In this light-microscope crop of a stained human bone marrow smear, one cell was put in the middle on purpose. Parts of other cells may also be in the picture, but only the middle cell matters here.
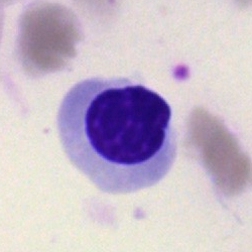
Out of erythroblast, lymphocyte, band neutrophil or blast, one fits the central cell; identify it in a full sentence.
Answering briefly, the cell in the middle is an erythroblast.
